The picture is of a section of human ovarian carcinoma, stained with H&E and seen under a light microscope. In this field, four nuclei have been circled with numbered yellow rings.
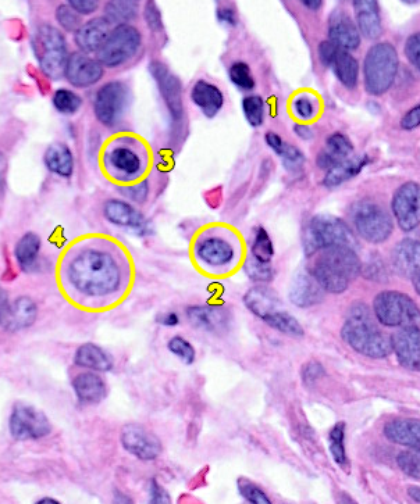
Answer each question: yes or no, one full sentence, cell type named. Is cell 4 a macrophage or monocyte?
No, a fibroblast, not a macrophage or monocyte, is the cell with number 4.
